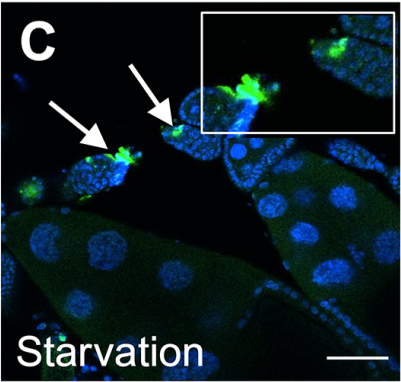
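Here we see ovarian egg chambers with their nuclei in blue. The large chambers hold a few big round nuclei in a faintly green cytoplasm, ringed by a rim of small nuclei. At the narrow tapering tips of the chains of chambers, where small crowded nuclei lie, bright green clumps stand out, irregular and bunched together; arrows point to them and a boxed enlargement shows one such clump among compact blue nuclei.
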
